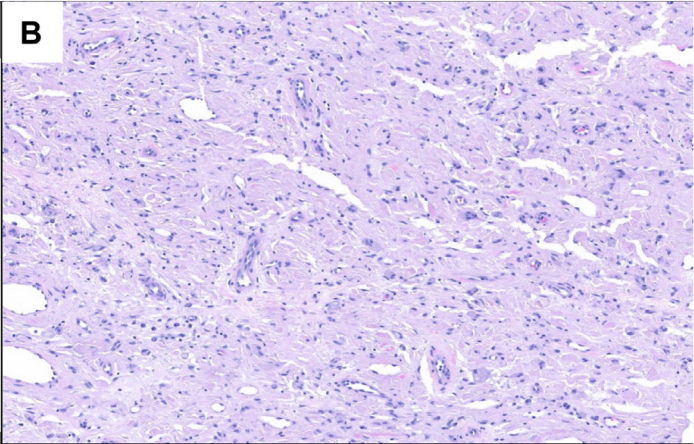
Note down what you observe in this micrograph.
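Small dark round nuclei of inflammatory cells are sprinkled among the elongated nuclei of the spindle cells. Numerous small thin-walled vessels and open clefts run through the tissue.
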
